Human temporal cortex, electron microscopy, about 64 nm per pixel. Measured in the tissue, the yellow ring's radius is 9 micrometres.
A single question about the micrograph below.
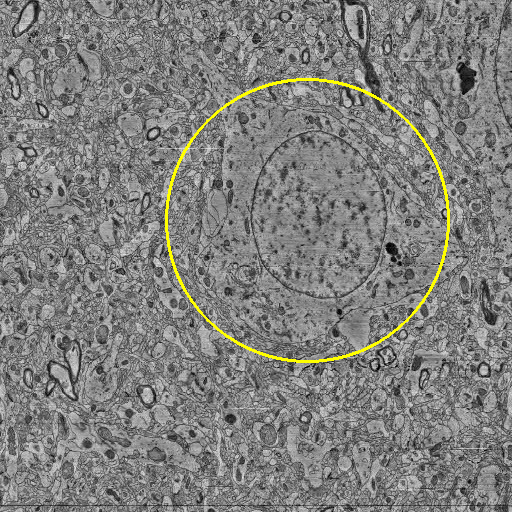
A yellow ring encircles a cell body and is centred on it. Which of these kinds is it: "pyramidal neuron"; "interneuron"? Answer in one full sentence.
The cell body at the centre of the yellow ring belongs to a pyramidal neuron.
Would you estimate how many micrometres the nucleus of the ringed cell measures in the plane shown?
About 11 by 9 micrometres in this plane.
